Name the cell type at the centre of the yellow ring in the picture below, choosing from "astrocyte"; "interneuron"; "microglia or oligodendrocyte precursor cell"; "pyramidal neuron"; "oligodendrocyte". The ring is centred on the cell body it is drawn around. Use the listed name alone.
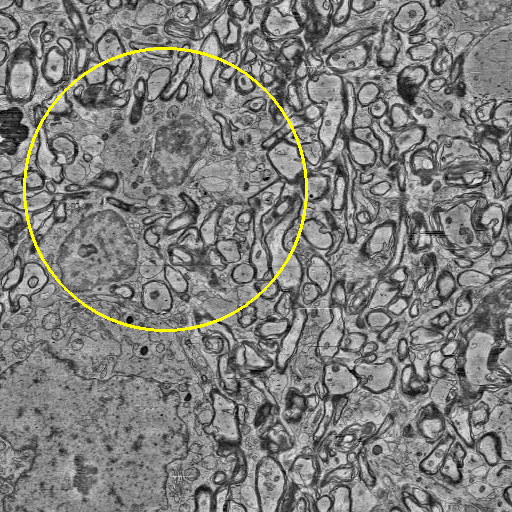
oligodendrocyte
